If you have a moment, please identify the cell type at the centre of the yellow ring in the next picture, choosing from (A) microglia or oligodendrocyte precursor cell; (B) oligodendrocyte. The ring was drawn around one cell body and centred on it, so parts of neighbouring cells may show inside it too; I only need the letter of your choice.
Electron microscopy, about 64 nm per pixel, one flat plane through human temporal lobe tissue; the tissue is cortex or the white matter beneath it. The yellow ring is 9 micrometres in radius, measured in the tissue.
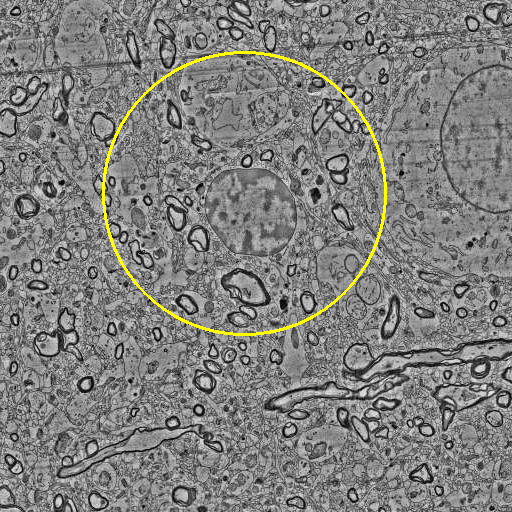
A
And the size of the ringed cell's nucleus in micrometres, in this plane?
In this plane, the nucleus measures approximately 6 micrometres across.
